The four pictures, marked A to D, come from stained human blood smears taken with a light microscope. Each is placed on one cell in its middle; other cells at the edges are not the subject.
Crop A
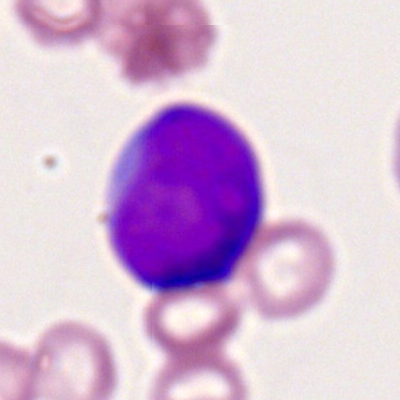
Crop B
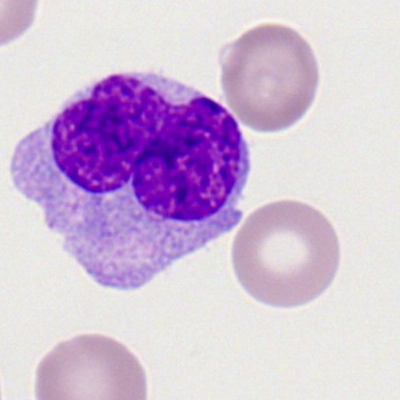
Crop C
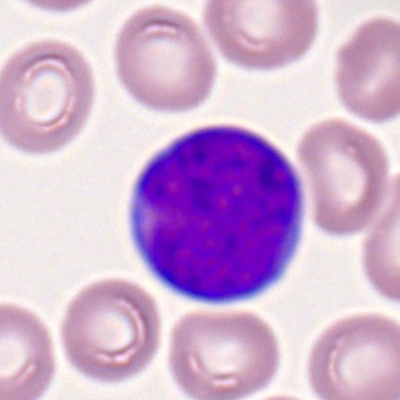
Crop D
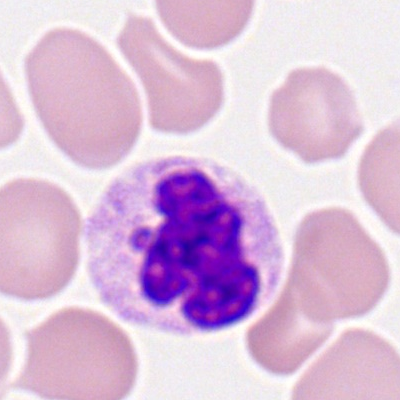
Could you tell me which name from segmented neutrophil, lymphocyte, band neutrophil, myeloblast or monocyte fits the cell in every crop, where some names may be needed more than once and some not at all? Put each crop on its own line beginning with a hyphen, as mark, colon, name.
- A: myeloblast
- B: monocyte
- C: myeloblast
- D: segmented neutrophil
